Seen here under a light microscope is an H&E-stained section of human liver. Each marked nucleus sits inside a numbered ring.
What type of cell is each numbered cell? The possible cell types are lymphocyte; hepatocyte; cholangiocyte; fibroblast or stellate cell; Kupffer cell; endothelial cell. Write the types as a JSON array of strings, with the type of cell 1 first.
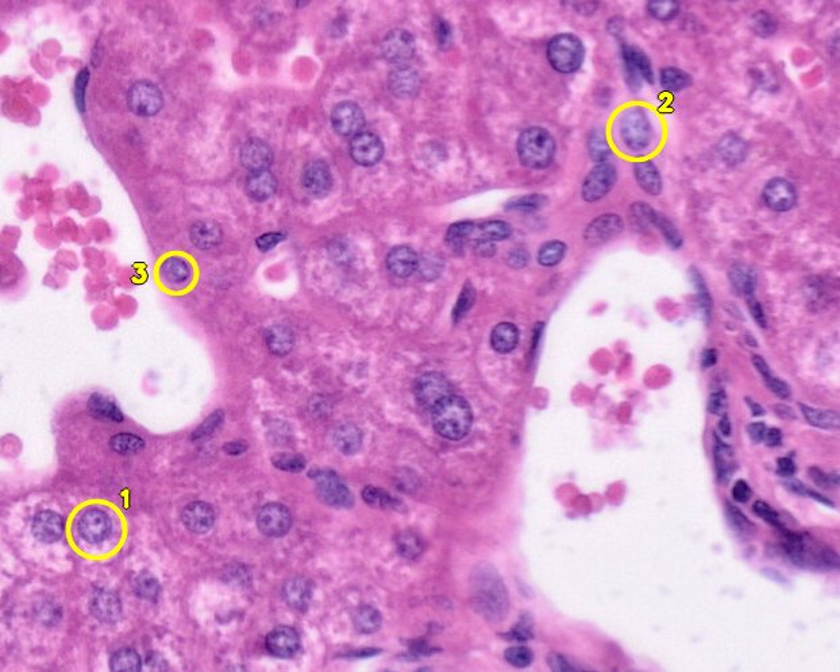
["hepatocyte", "cholangiocyte", "cholangiocyte"]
